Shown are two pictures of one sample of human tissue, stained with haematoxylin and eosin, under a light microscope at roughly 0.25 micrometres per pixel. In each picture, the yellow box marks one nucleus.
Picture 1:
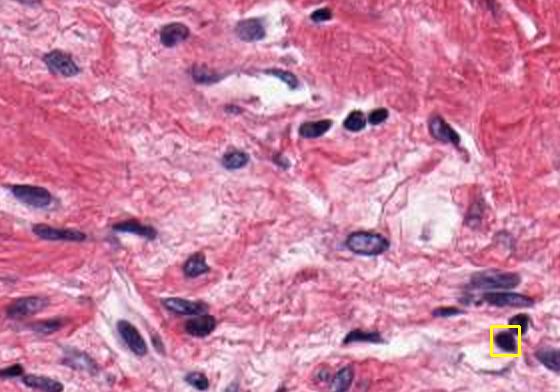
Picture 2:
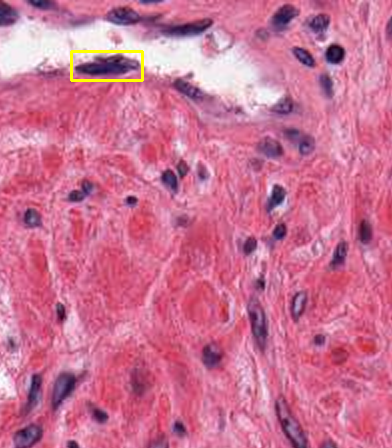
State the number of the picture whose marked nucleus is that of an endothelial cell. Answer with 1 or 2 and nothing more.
2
